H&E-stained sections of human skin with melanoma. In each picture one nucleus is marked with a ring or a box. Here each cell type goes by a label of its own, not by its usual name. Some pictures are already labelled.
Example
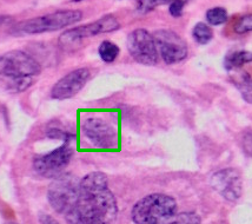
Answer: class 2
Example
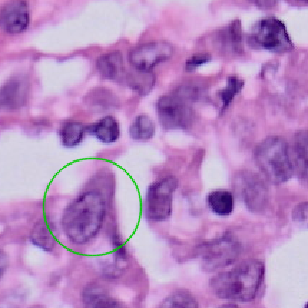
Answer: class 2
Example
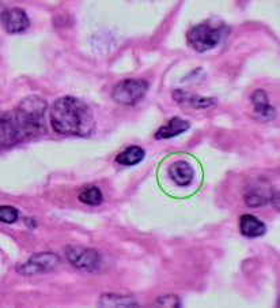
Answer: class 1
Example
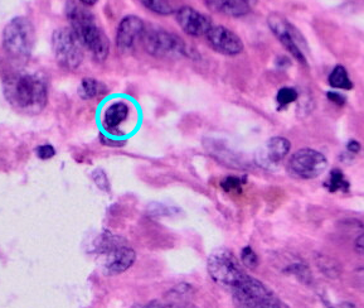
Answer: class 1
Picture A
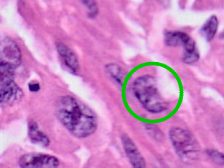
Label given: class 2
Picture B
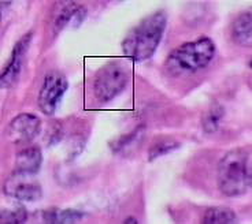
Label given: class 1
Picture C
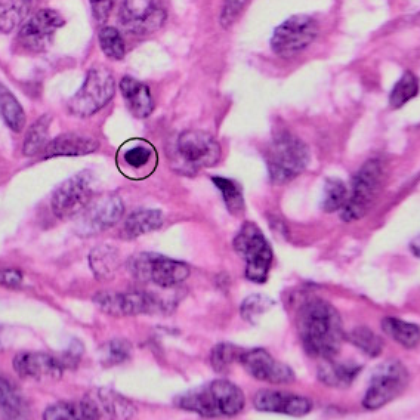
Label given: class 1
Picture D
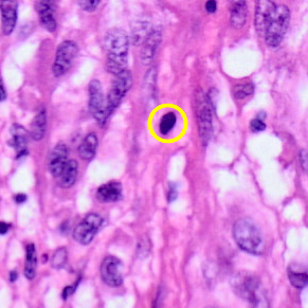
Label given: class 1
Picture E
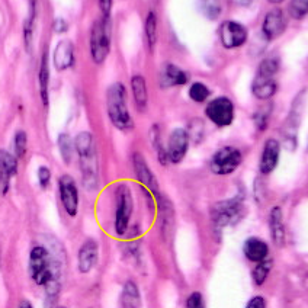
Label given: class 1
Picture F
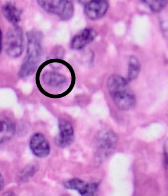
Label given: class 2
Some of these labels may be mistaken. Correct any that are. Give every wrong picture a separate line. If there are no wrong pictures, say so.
B: not class 1 but class 2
